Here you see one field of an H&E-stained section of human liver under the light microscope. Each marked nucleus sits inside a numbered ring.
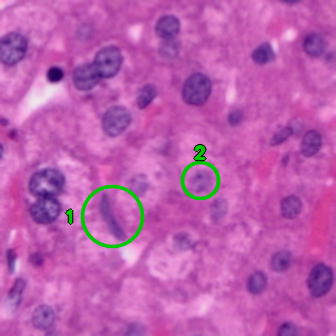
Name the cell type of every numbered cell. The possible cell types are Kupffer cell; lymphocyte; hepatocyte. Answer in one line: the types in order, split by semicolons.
Kupffer cell; hepatocyte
